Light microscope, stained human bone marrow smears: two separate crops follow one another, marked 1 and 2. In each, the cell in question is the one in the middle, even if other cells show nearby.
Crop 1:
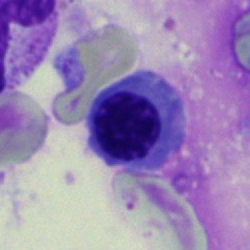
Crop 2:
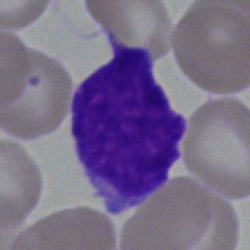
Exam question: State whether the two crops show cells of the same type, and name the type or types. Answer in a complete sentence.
No, the cell at the middle of crop 1 is an erythroblast, while crop 2 centres on a blast.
